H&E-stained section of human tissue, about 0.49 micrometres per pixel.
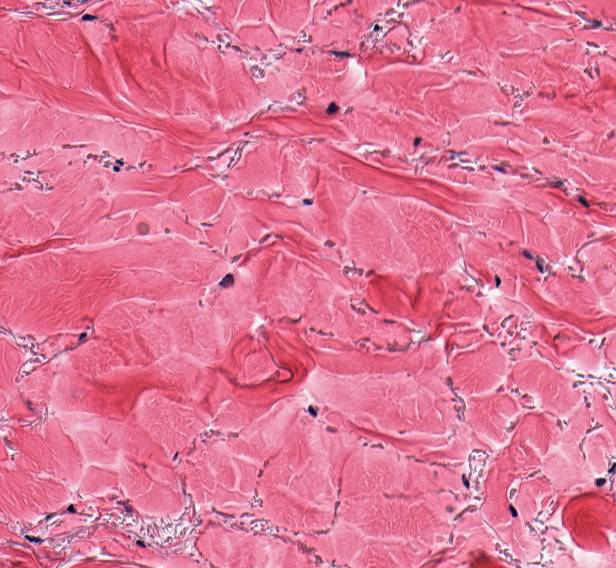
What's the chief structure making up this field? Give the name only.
dermis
